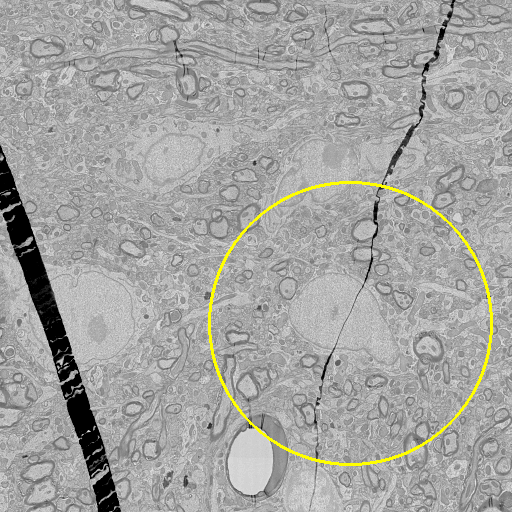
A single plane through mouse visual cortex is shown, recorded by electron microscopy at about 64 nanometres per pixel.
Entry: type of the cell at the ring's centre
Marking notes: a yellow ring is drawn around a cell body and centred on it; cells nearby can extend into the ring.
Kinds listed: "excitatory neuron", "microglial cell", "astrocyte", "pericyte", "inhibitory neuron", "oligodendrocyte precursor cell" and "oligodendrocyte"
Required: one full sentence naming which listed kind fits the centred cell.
My entry names an astrocyte as the cell whose body the yellow ring centres on.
